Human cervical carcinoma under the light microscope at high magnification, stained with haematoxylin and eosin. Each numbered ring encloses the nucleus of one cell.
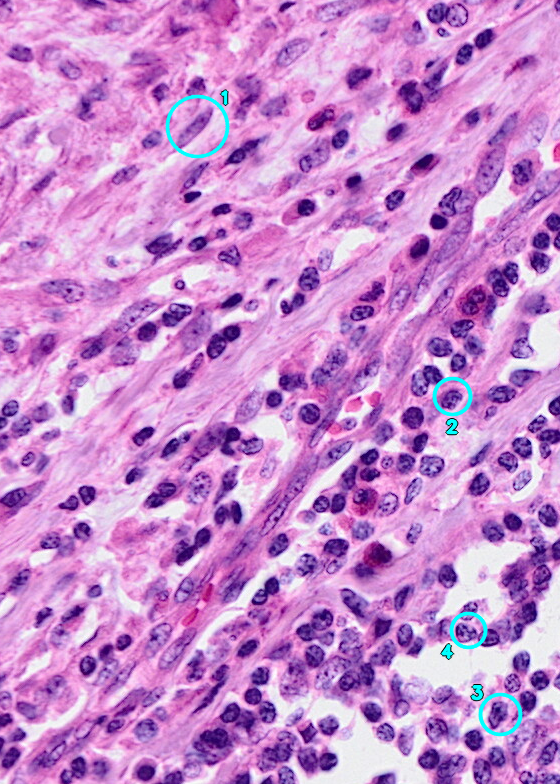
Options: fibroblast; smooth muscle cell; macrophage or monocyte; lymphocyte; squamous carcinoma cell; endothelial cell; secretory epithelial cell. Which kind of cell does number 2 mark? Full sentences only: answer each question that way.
Cell 2 should be recorded as a lymphocyte.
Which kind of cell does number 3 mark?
To a lymphocyte belongs the nucleus marked 3.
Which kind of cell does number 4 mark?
Number 4 is placed on a lymphocyte here.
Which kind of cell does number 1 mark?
Heads up, the cell numbered 1 is a fibroblast.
